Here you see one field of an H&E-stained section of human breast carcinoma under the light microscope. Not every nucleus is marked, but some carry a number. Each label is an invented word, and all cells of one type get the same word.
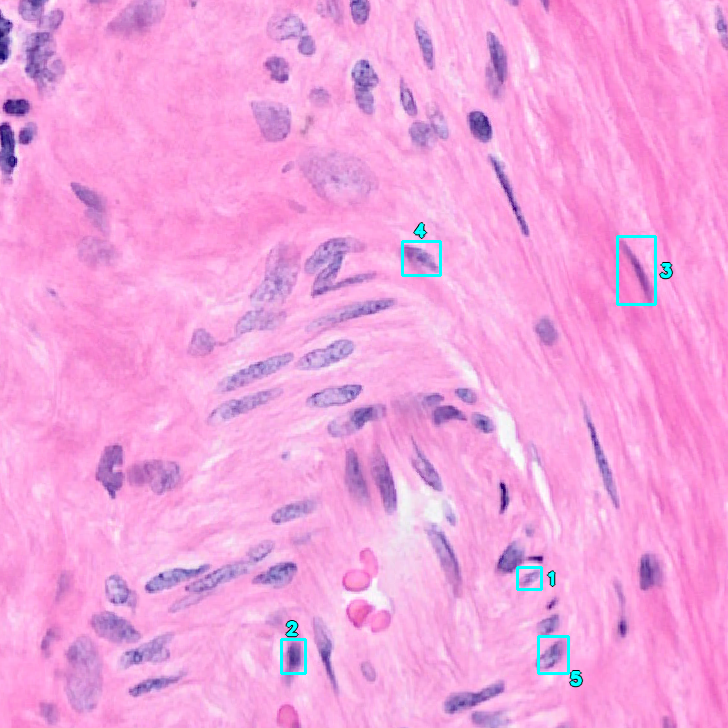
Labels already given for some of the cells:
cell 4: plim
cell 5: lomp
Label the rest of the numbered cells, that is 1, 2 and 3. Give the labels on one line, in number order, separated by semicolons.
lomp; lomp; plim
